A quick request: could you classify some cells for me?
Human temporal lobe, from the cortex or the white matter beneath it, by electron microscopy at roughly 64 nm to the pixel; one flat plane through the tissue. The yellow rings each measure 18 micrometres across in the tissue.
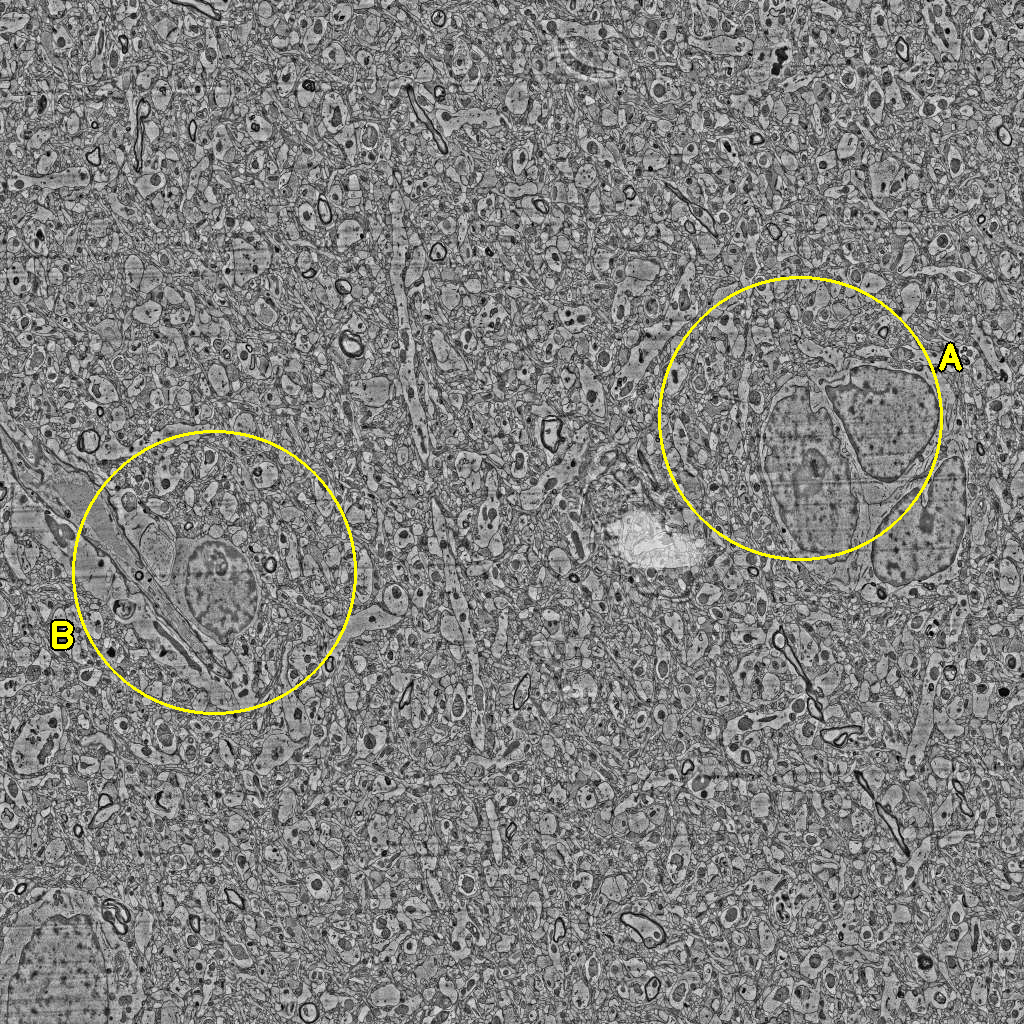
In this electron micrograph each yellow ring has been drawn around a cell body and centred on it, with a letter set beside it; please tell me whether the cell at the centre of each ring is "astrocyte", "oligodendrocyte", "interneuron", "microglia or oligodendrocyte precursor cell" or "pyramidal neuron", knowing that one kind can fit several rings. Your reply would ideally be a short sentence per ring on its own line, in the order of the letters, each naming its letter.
Ring A has an interneuron at its centre.
Ring B has an oligodendrocyte at its centre.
